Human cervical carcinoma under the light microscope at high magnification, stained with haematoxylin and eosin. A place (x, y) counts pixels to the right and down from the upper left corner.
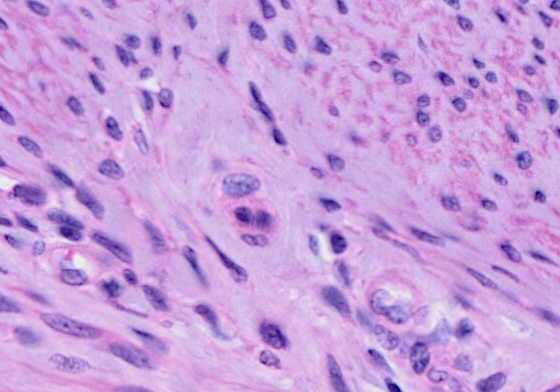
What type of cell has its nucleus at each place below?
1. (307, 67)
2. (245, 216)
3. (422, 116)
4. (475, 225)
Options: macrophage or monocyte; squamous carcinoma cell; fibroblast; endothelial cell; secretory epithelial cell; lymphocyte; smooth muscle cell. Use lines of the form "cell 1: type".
cell 1: smooth muscle cell
cell 2: endothelial cell
cell 3: smooth muscle cell
cell 4: smooth muscle cell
